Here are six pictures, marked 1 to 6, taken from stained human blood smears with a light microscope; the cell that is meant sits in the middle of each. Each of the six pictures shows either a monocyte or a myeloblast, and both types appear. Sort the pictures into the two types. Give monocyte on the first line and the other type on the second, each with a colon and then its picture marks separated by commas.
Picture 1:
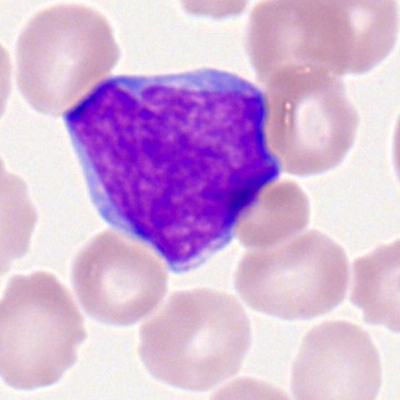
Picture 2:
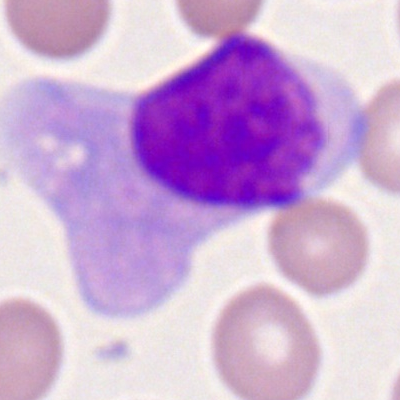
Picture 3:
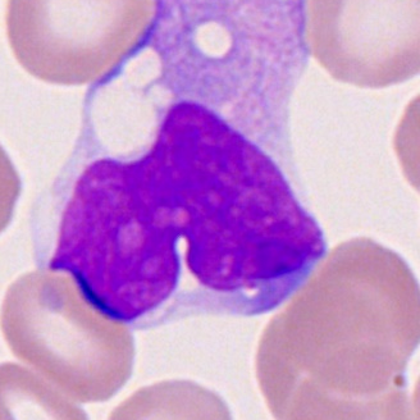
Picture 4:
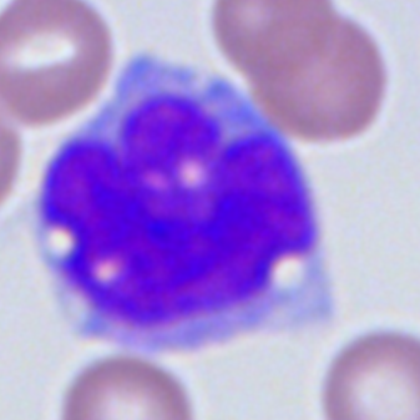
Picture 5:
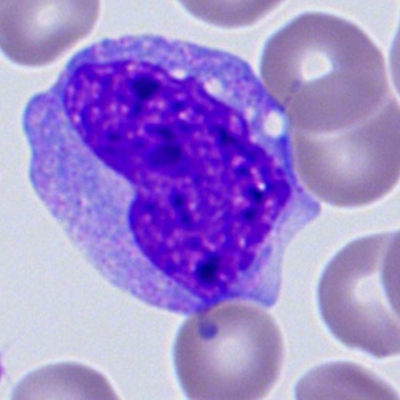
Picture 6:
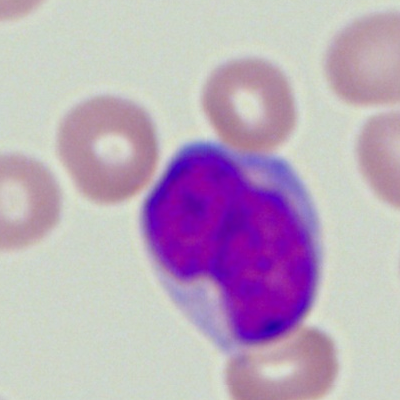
monocyte: 2, 3, 4, 5
myeloblast: 1, 6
